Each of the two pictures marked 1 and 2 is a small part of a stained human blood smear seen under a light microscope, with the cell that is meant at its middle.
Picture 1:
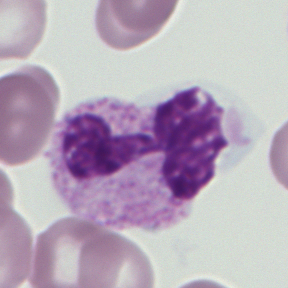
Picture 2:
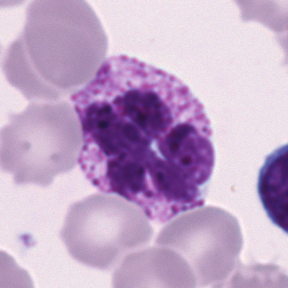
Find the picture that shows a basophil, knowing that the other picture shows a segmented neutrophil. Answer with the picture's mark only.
2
